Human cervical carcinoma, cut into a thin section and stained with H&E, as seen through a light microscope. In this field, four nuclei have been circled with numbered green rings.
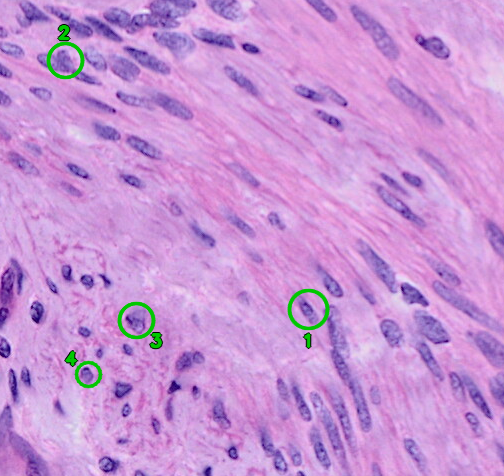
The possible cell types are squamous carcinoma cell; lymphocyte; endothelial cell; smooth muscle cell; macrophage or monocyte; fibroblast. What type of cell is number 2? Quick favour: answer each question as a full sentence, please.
Cell 2 in the field of view is a fibroblast.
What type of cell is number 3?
In this section, the cell tagged 3 is a smooth muscle cell.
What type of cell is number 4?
The numeral 4 marks a smooth muscle cell in this section.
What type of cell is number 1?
The nucleus marked 1 is the nucleus of a smooth muscle cell.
